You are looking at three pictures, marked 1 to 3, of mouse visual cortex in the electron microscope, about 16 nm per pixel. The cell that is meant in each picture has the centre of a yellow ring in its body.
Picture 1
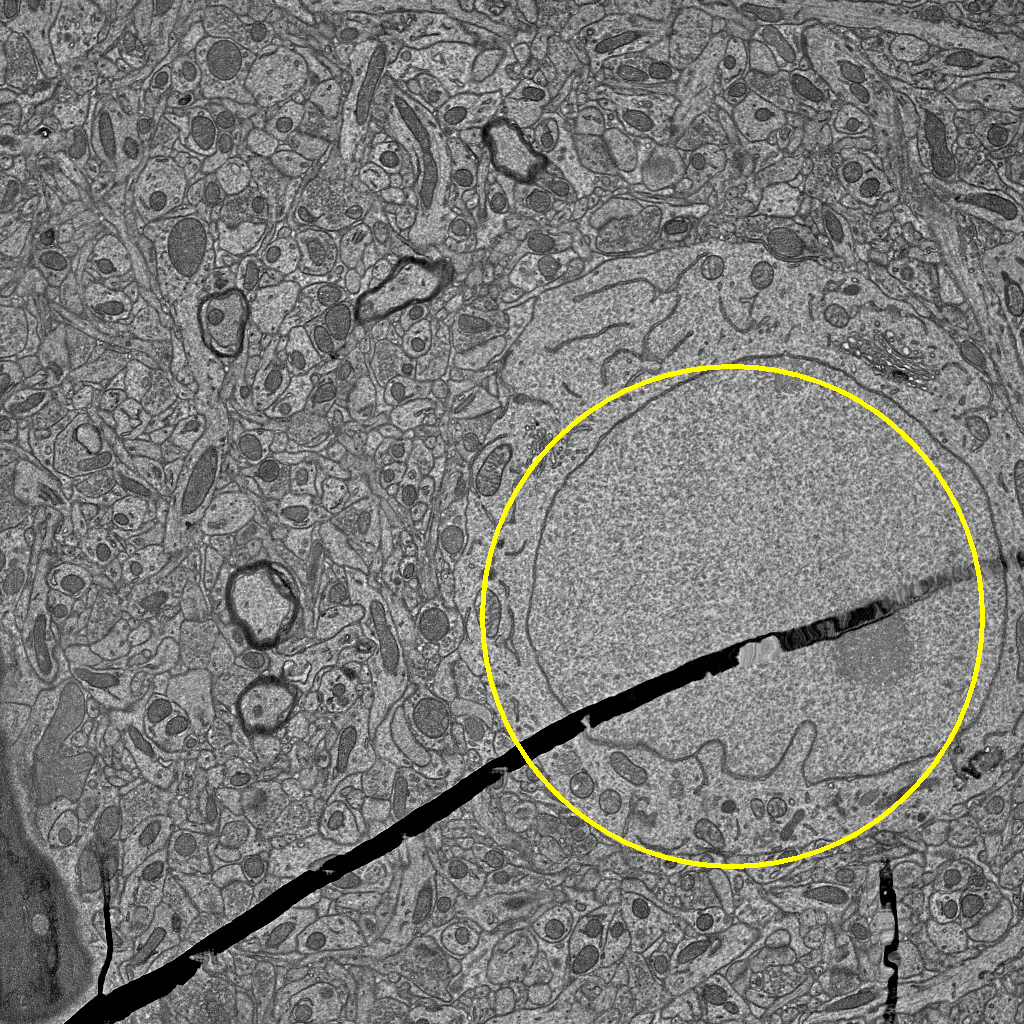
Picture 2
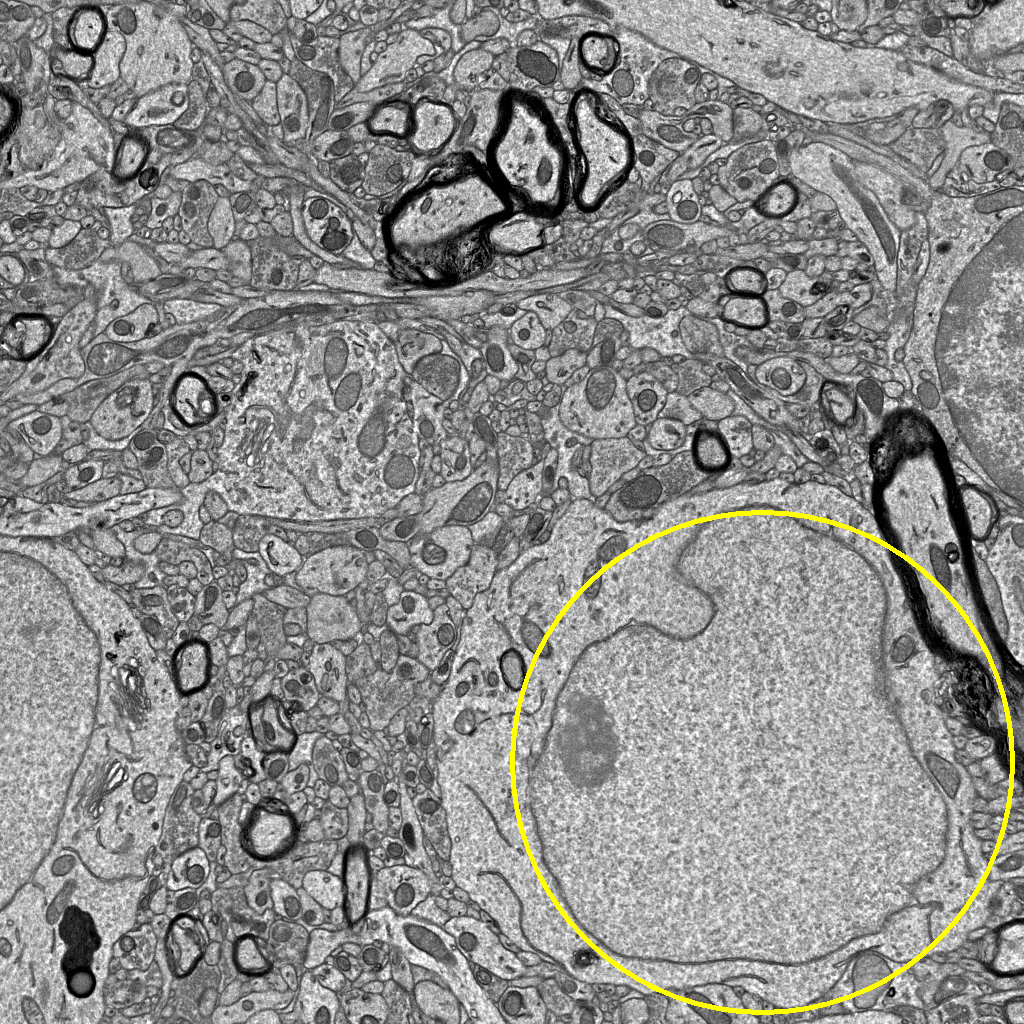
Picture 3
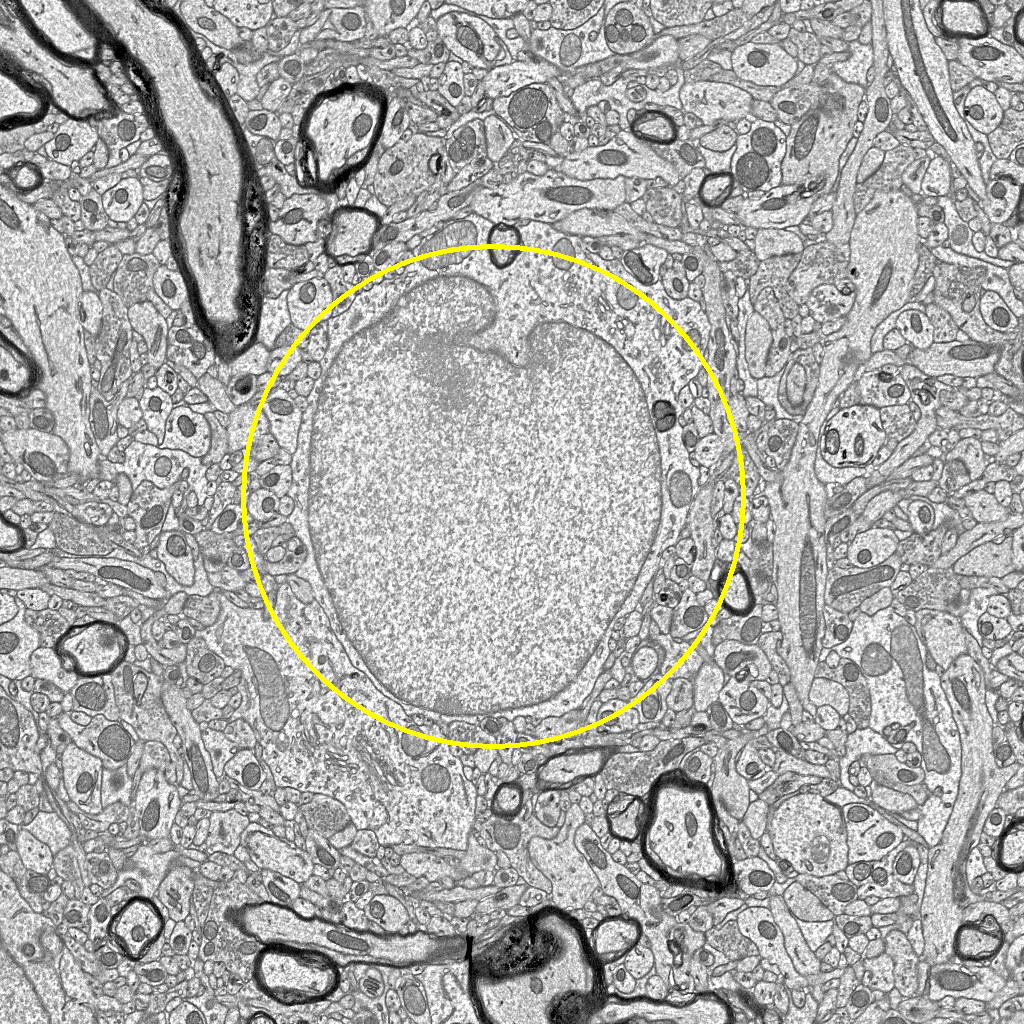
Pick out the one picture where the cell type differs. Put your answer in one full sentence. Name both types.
The different one is picture 3; it shows an astrocyte, whereas all the others show excitatory neurons.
